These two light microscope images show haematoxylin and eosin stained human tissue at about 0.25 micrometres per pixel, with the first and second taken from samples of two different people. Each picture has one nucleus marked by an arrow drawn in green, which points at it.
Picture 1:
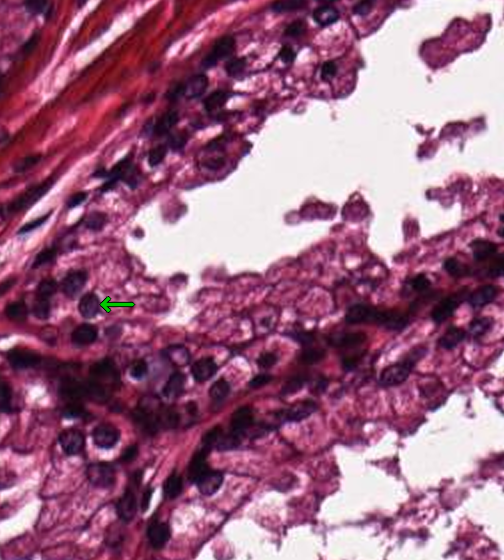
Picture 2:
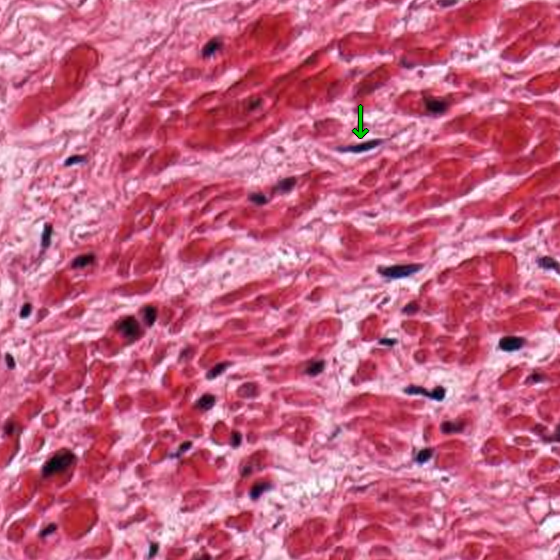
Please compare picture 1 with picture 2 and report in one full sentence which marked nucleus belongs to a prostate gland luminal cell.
That the marked nucleus belongs to a prostate gland luminal cell holds for picture 1 and not for the other picture.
